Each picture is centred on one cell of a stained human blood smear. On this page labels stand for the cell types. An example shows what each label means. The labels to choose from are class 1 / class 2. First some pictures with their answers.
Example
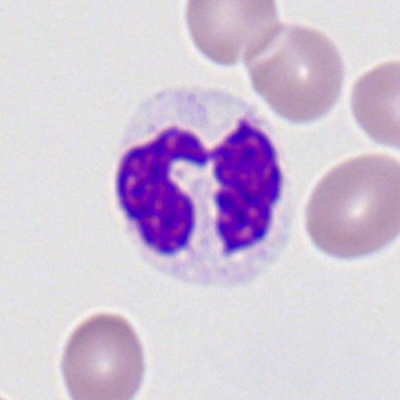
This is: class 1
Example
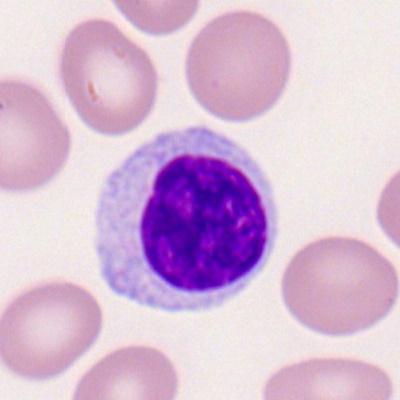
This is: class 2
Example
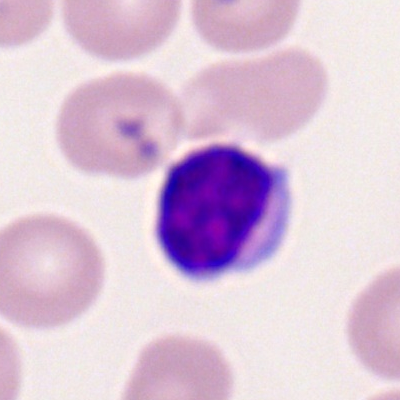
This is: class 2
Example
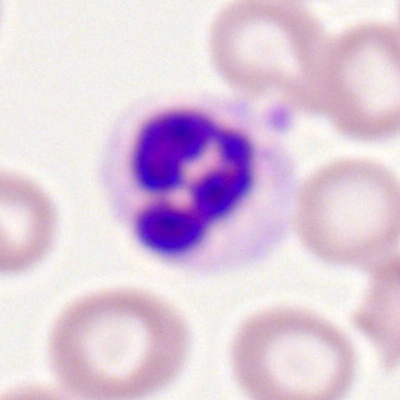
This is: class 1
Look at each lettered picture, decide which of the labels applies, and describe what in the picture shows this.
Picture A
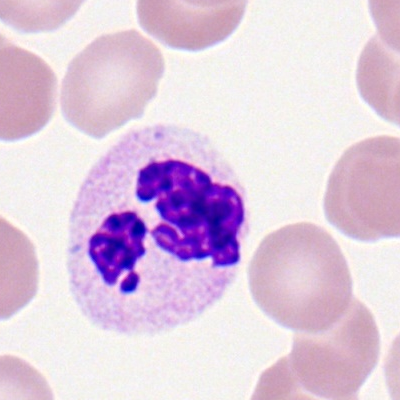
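class 1. Evidence: The cytoplasm is plentiful and pale pinkish-lilac.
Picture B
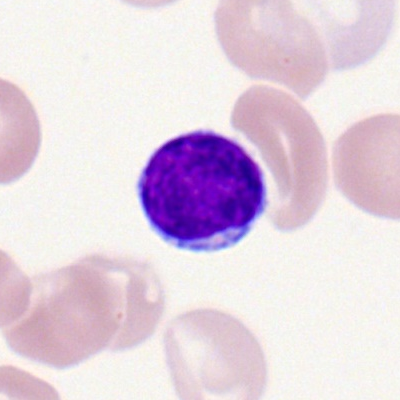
class 2. Evidence: The cytoplasm is a scant pale blue rim, seen most clearly along the lower edge.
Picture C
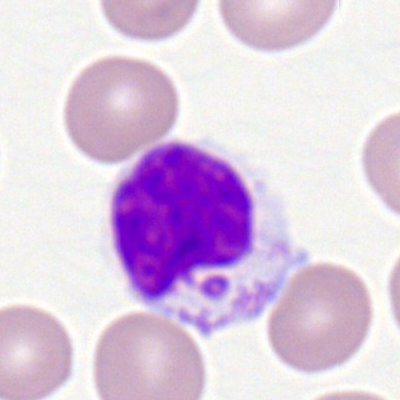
class 2. Evidence: The nucleus fills most of the cell, leaving cytoplasm mainly on its lower right side.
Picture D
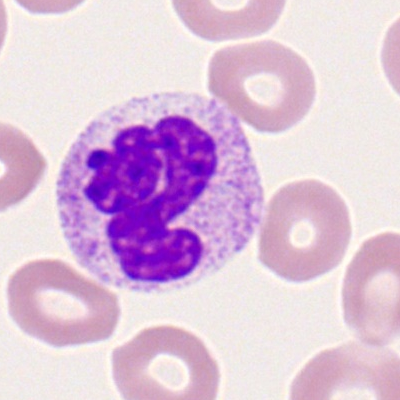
class 1. Evidence: The cytoplasm is plentiful and pale pinkish-lilac.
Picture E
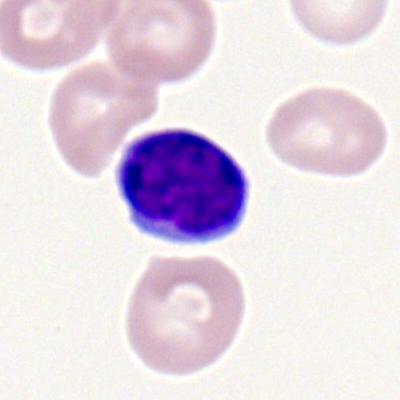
class 2. Evidence: The cytoplasm is a scant pale blue rim seen mainly along the lower edge.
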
